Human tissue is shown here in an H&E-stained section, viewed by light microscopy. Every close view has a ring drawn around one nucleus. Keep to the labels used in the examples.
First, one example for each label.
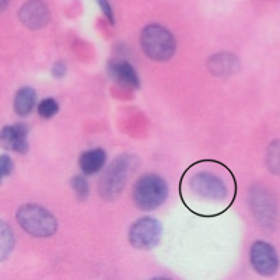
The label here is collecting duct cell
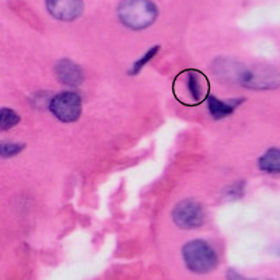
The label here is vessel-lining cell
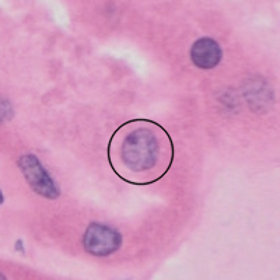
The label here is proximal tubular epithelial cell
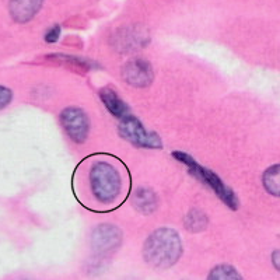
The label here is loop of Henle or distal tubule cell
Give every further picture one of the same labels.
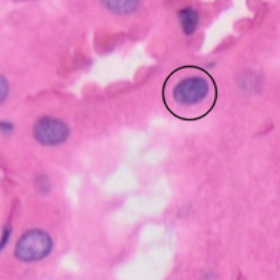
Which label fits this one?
proximal tubular epithelial cell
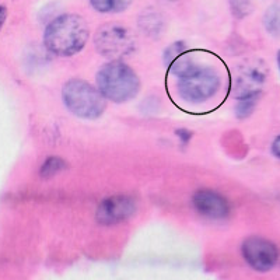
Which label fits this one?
collecting duct cell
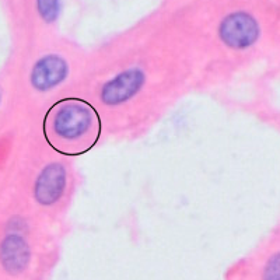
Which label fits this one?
proximal tubular epithelial cell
